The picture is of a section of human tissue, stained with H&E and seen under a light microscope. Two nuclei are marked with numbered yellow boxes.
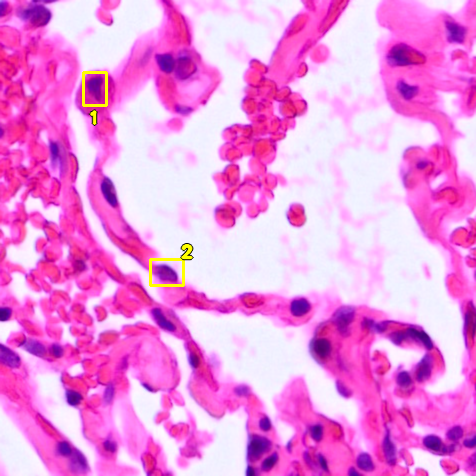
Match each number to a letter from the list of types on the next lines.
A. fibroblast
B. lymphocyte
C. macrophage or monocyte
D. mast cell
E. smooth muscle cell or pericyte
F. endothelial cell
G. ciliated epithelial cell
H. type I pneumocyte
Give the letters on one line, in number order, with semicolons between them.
C; H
